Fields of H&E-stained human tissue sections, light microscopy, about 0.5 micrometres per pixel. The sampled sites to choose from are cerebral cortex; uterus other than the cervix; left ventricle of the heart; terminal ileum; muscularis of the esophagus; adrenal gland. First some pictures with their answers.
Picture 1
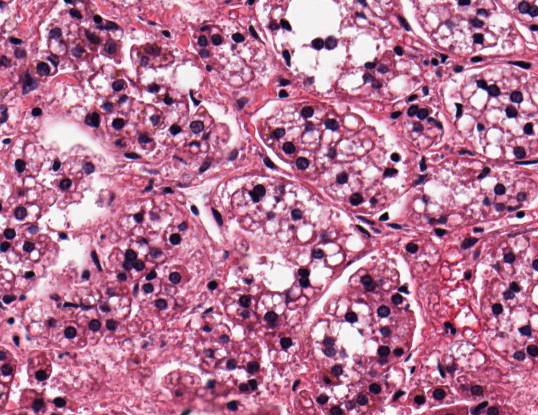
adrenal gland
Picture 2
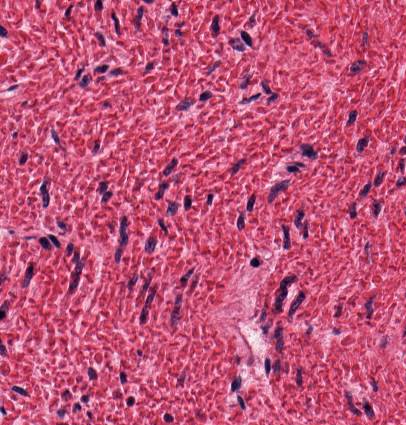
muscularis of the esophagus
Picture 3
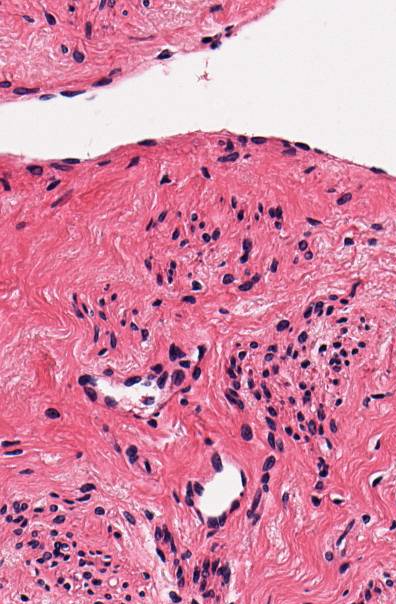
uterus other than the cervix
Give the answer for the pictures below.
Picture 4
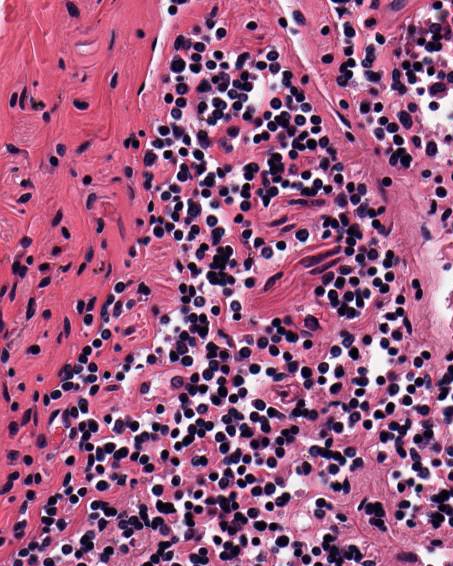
terminal ileum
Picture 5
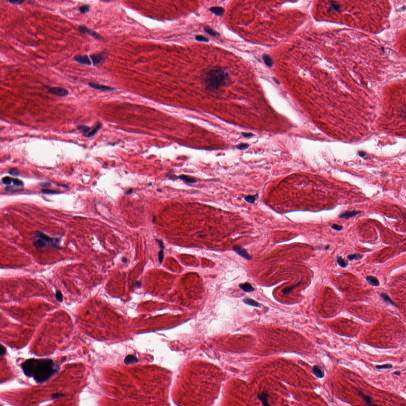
left ventricle of the heart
